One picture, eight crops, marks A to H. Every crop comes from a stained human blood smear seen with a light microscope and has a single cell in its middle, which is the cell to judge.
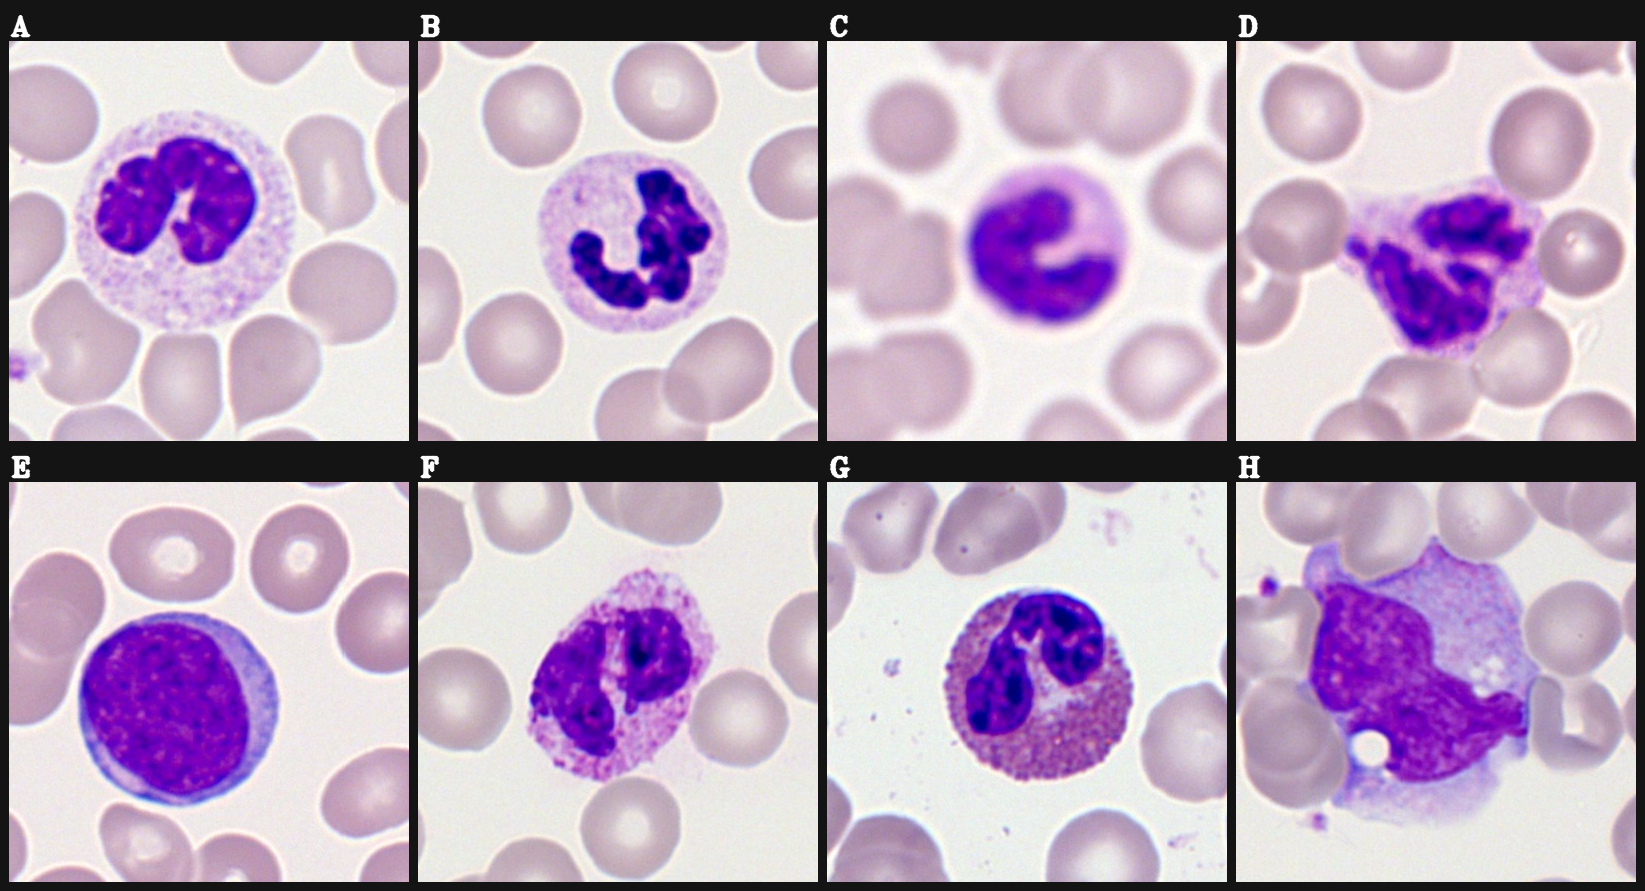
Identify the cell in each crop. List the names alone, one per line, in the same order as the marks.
band neutrophil
segmented neutrophil
band neutrophil
basophil
myeloblast
basophil
eosinophil
monocyte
